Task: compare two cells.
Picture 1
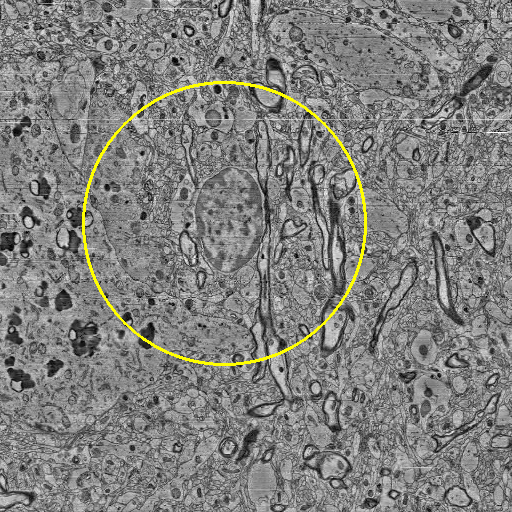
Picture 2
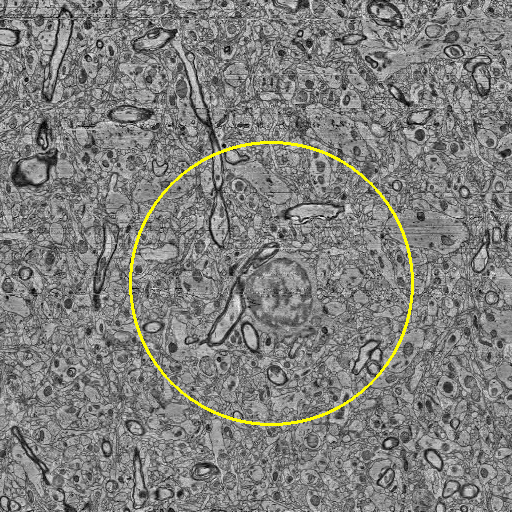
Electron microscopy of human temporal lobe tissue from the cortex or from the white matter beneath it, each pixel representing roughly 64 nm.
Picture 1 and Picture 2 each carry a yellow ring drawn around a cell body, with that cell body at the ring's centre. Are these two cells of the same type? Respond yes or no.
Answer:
no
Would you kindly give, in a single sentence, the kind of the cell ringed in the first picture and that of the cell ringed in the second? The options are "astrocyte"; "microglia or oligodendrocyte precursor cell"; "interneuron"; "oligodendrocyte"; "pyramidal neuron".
The second cell is an oligodendrocyte, and the first cell is a microglial cell or oligodendrocyte precursor cell.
